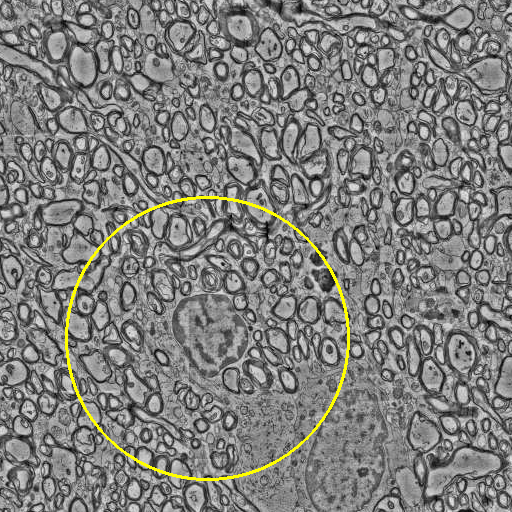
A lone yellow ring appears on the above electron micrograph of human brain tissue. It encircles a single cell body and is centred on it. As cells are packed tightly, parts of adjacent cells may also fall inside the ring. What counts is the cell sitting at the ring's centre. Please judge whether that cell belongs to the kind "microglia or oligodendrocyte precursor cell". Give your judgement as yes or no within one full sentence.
Yes, the cell lying at the centre of the ring in the picture belongs to this kind.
